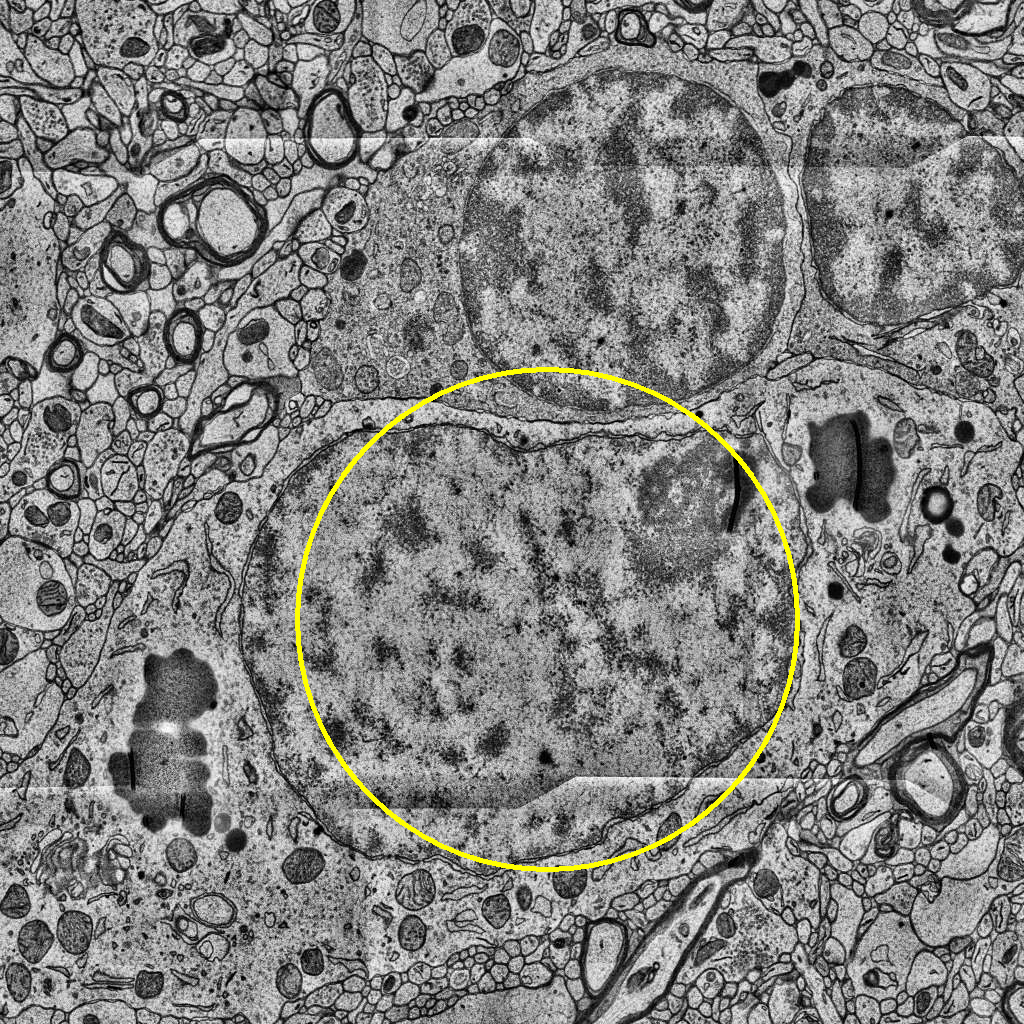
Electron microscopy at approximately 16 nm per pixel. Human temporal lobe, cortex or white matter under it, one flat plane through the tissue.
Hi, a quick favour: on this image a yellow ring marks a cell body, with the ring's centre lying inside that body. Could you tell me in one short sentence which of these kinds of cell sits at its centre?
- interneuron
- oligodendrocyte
The ring's centre lies in an interneuron.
